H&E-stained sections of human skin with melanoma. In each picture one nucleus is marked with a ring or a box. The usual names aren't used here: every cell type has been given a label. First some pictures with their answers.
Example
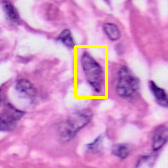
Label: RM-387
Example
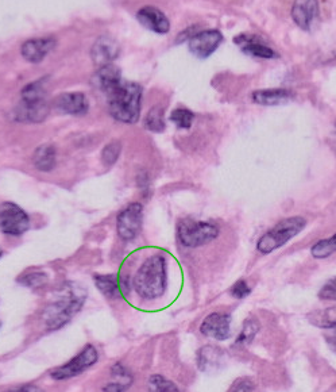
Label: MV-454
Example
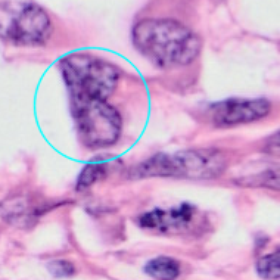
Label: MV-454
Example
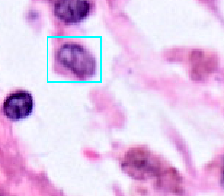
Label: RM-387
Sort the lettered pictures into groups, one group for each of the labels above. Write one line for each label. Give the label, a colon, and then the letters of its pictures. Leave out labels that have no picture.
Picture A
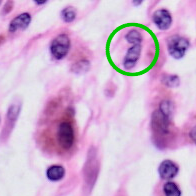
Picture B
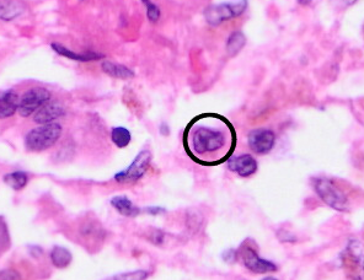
RM-387: A, B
